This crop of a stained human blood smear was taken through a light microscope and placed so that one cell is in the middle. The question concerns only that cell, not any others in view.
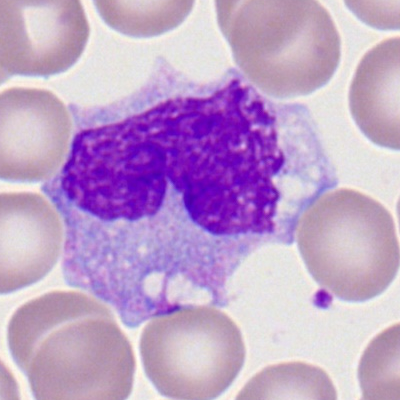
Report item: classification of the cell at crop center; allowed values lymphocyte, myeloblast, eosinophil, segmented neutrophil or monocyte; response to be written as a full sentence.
The cell marked by its central position in the crop is a monocyte.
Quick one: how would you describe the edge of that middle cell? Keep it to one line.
No smooth contour is present; the border is ragged or extended into projections.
